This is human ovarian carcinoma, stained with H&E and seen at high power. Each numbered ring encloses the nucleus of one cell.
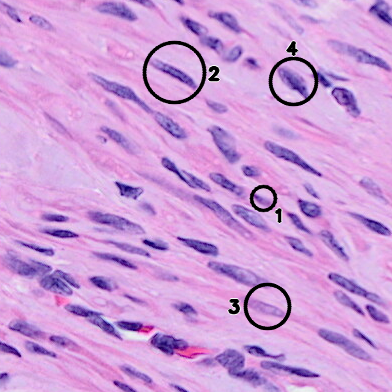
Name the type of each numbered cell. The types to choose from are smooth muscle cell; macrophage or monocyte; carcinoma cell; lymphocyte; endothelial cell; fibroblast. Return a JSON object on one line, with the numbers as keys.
{"1": "smooth muscle cell", "2": "smooth muscle cell", "3": "smooth muscle cell", "4": "fibroblast"}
